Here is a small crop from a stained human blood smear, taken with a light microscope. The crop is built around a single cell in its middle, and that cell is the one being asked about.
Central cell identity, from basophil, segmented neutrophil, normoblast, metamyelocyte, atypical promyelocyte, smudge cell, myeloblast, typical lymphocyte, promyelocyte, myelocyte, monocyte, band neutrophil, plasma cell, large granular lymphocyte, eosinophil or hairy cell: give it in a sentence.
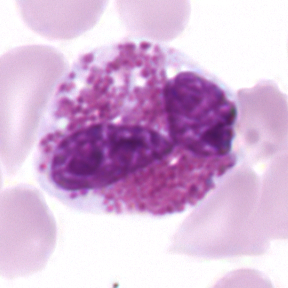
In the middle of this smear crop, the cell is an eosinophil.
